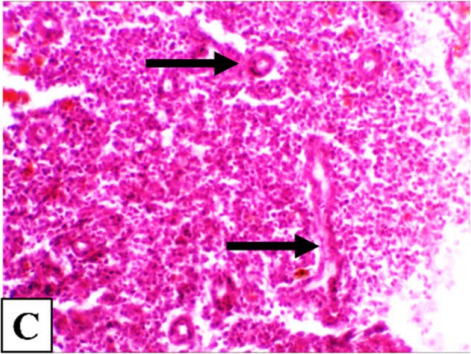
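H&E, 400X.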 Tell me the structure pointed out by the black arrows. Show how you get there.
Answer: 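The channels lie among densely packed small cells with dark nuclei.
Answer: blood vessels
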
